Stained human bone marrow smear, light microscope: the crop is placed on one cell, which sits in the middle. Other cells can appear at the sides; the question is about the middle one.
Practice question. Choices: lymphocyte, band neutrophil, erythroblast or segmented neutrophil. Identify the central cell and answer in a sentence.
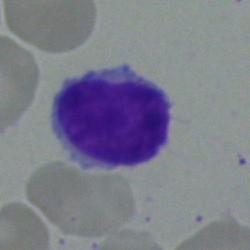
The cell centred in this crop is categorized as a lymphocyte.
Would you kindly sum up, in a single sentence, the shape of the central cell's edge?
The cell is bounded by a ragged or projection-bearing margin rather than a smooth one.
